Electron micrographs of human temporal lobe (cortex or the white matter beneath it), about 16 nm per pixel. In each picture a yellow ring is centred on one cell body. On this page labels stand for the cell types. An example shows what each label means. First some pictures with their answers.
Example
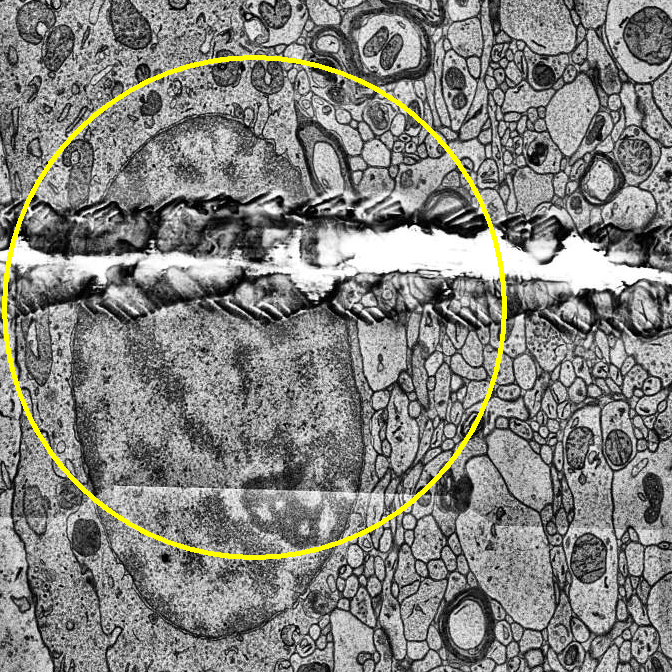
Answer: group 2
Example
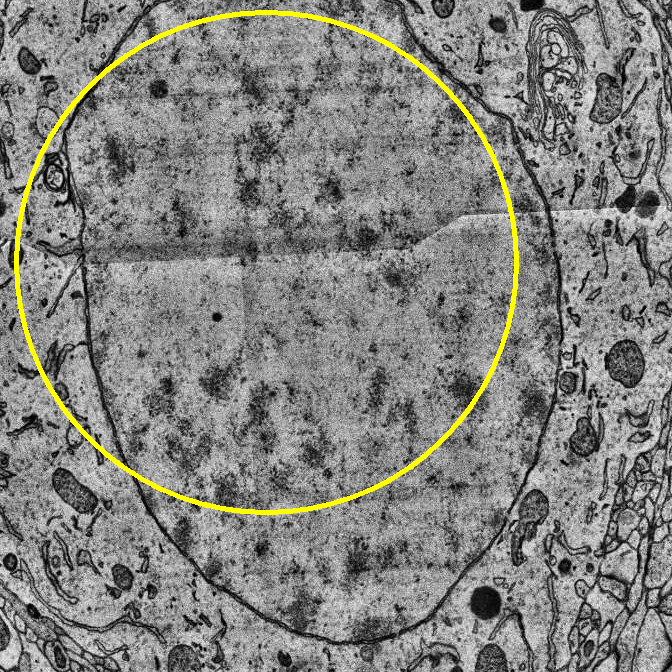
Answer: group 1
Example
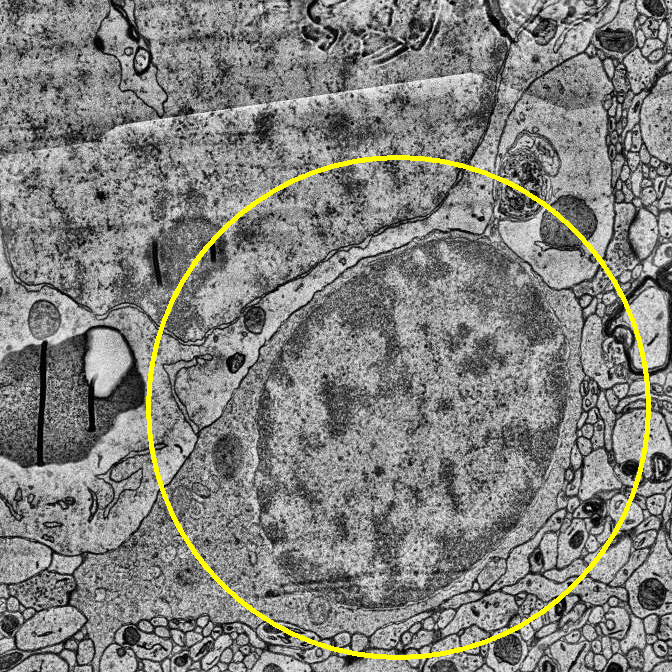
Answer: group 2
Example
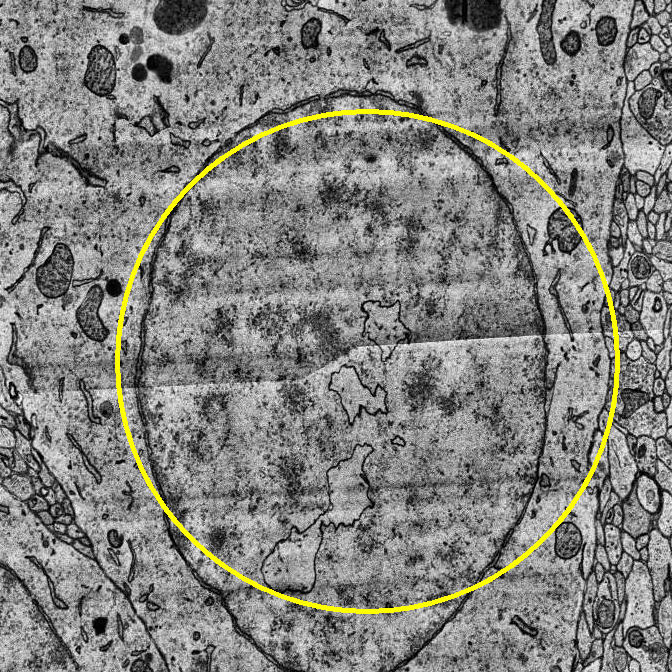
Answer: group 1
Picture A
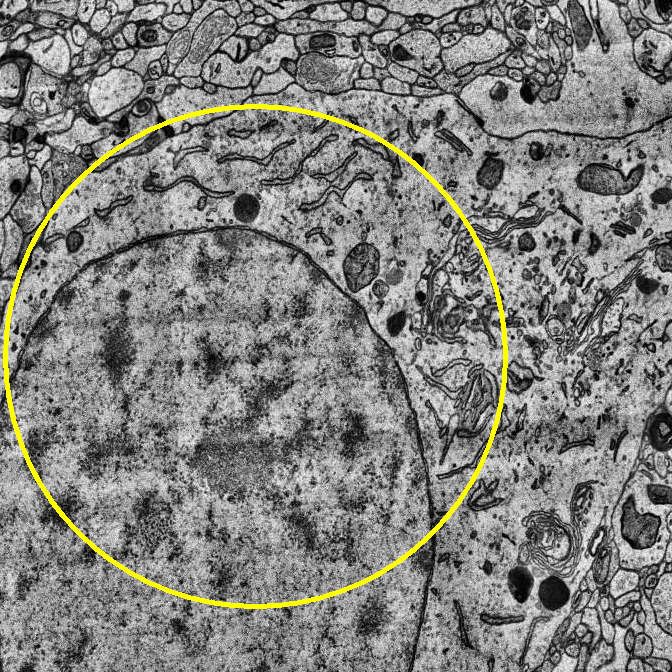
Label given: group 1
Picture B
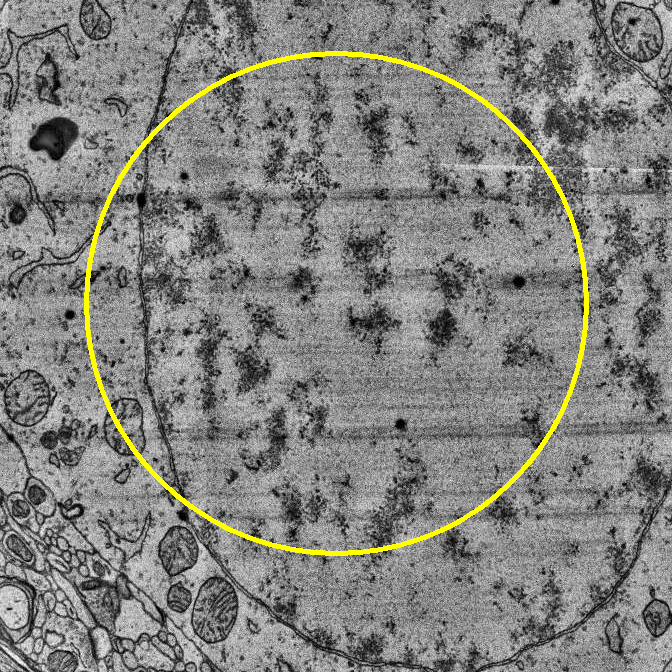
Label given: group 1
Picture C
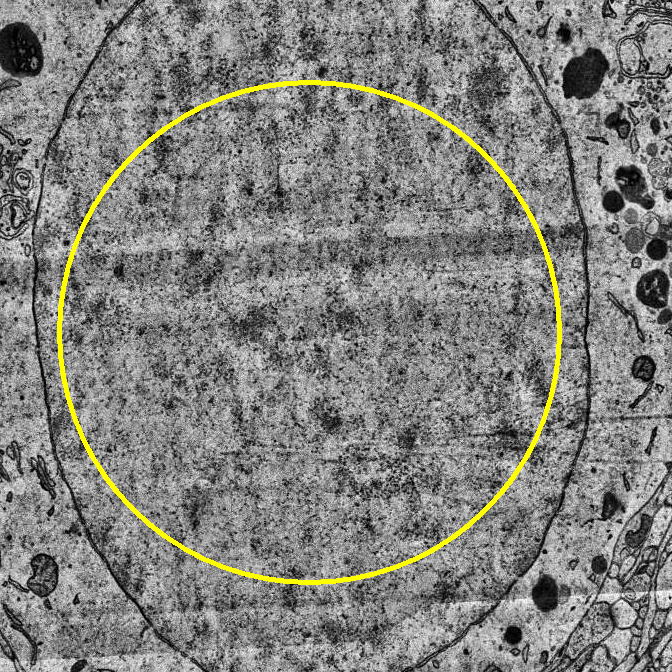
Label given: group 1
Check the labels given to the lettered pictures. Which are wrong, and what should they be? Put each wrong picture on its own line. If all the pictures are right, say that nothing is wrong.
None of the labels needs changing.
